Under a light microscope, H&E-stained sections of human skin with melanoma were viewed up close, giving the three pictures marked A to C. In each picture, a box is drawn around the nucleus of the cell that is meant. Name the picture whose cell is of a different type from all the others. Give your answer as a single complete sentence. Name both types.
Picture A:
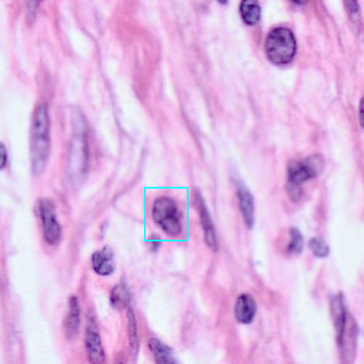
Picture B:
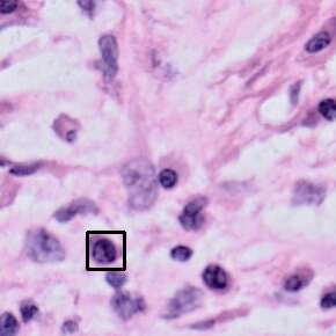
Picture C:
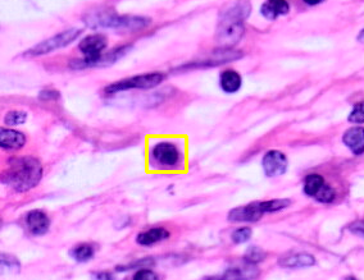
Picture A differs, because its cell is a “macrophage or monocyte” and the rest are plasma cells.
